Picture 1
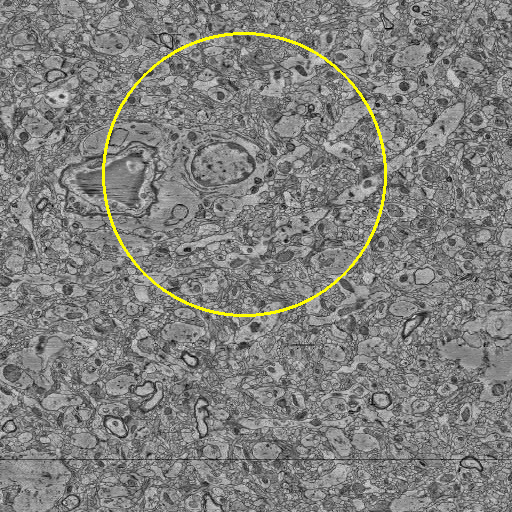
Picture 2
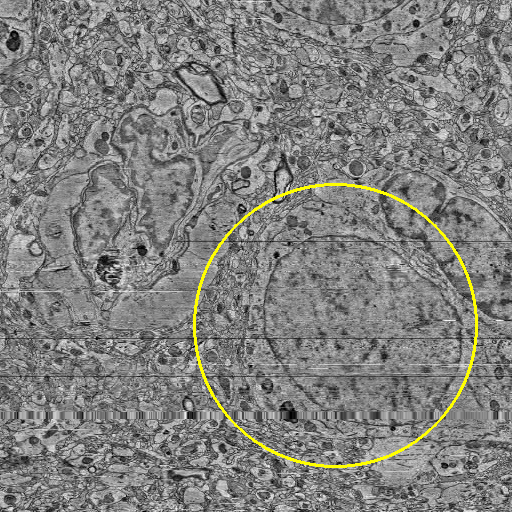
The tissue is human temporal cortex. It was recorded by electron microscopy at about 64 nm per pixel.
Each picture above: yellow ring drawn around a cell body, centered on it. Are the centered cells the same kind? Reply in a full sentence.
No, the two cells are two kinds of cell.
